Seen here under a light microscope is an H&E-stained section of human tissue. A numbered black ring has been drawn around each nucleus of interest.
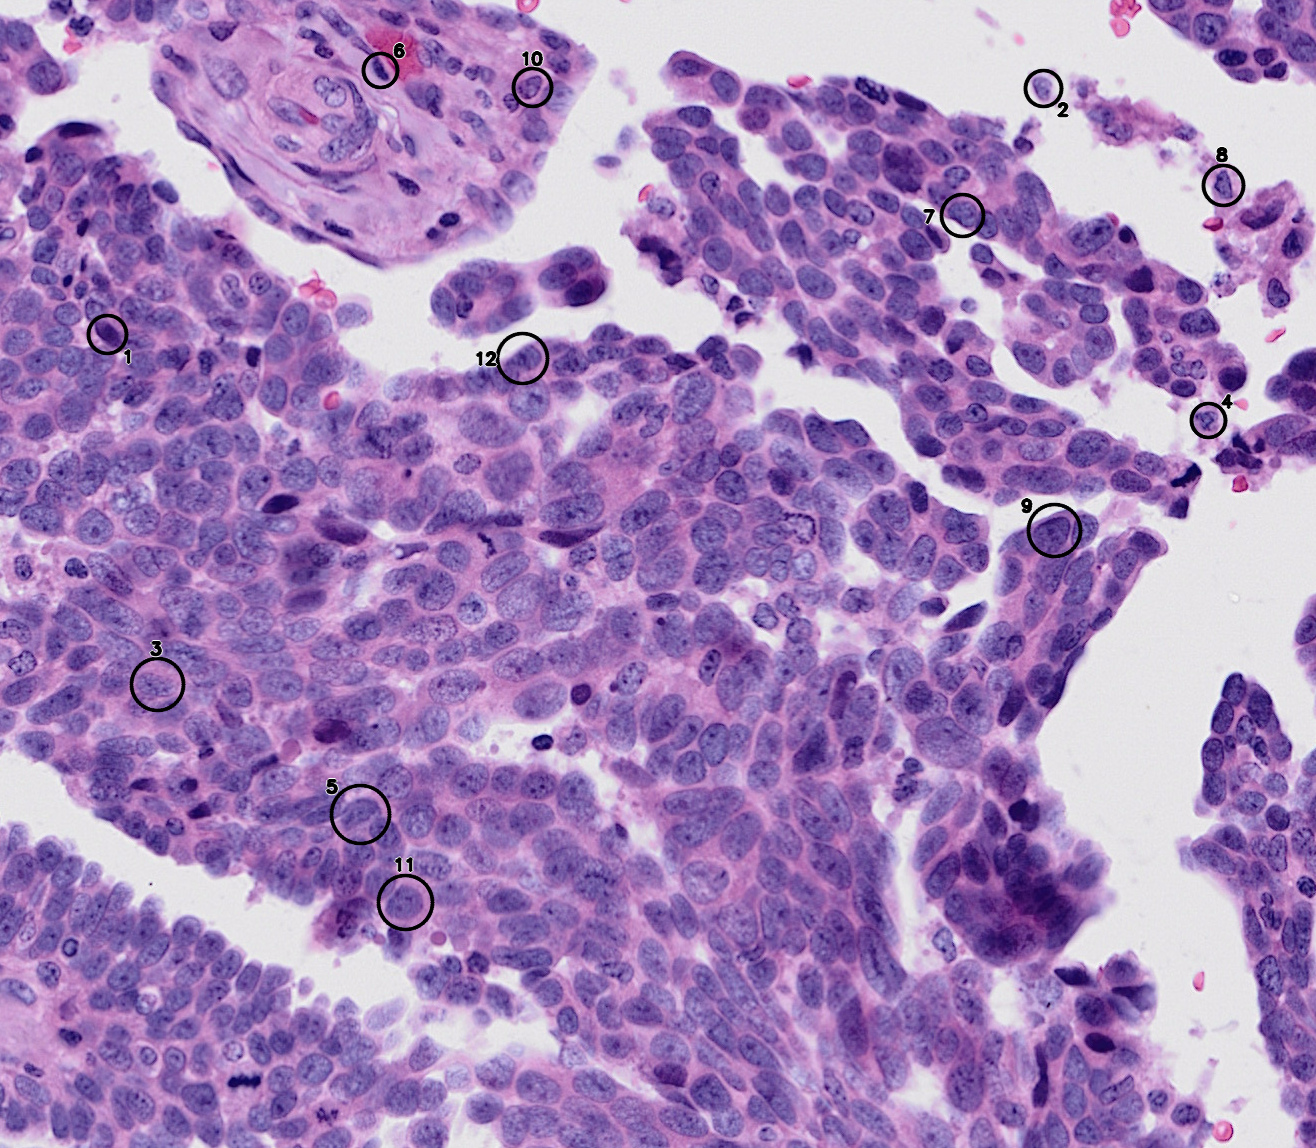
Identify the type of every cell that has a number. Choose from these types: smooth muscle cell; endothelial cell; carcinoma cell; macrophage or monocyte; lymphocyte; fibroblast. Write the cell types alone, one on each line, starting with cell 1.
carcinoma cell
macrophage or monocyte
carcinoma cell
macrophage or monocyte
carcinoma cell
lymphocyte
carcinoma cell
macrophage or monocyte
carcinoma cell
macrophage or monocyte
carcinoma cell
carcinoma cell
